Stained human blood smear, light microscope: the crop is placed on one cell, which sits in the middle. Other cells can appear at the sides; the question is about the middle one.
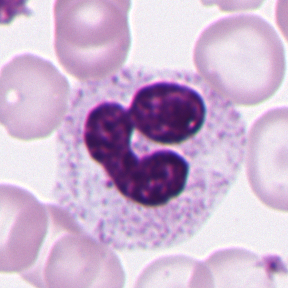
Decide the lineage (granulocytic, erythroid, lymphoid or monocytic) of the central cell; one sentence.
The cell in the middle comes from the granulocytic lineage of blood cells.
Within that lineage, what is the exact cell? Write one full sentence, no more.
The crop's centre is taken up by a segmented neutrophil.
